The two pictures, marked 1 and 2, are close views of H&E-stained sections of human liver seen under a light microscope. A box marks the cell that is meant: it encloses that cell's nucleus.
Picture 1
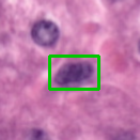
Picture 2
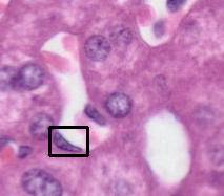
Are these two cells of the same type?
no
